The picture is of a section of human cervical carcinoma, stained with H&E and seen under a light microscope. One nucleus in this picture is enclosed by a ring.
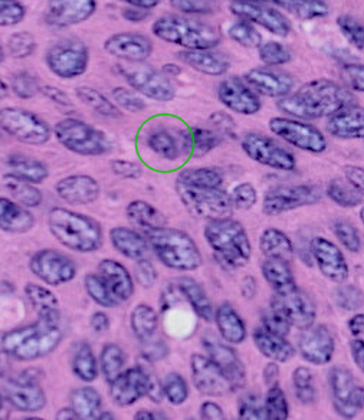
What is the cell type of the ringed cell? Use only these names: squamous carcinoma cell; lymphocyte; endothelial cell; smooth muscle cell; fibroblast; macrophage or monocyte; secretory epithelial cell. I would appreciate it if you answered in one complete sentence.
For cell typing purposes, the ringed cell is a squamous carcinoma cell.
